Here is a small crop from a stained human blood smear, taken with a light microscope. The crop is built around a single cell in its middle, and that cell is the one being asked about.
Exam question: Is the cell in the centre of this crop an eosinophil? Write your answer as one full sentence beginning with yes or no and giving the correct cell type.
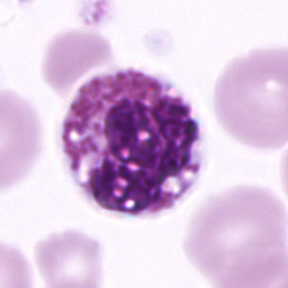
Yes, the cell in the middle of the crop is an eosinophil.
